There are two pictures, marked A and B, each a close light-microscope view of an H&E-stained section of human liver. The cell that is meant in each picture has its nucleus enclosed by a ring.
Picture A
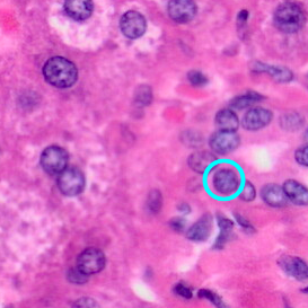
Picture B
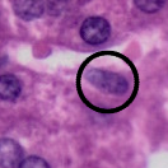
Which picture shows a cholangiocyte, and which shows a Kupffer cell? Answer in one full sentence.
Picture B shows a Kupffer cell, while picture A shows a cholangiocyte.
